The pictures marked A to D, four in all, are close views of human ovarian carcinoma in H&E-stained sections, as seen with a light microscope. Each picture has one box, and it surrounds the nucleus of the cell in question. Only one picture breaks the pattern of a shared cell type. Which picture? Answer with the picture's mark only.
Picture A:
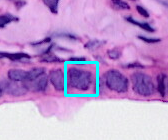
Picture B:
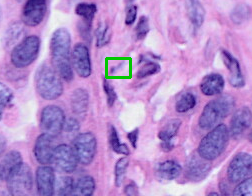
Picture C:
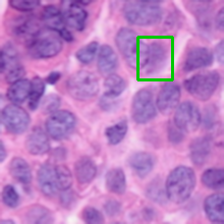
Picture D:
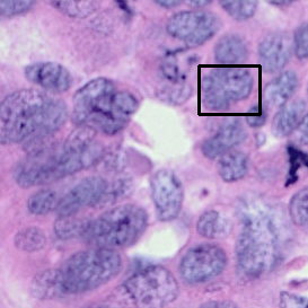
B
